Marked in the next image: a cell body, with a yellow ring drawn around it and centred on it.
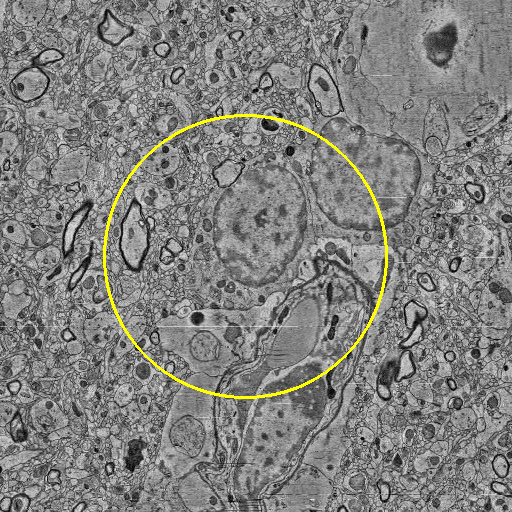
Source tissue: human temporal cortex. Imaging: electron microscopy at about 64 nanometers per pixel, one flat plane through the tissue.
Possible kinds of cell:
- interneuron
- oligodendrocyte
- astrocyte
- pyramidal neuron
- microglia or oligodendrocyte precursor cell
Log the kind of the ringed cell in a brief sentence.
The ringed cell body is that of an oligodendrocyte.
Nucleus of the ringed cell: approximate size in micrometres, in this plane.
The nucleus comes to roughly 8 by 6 micrometres in this plane.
